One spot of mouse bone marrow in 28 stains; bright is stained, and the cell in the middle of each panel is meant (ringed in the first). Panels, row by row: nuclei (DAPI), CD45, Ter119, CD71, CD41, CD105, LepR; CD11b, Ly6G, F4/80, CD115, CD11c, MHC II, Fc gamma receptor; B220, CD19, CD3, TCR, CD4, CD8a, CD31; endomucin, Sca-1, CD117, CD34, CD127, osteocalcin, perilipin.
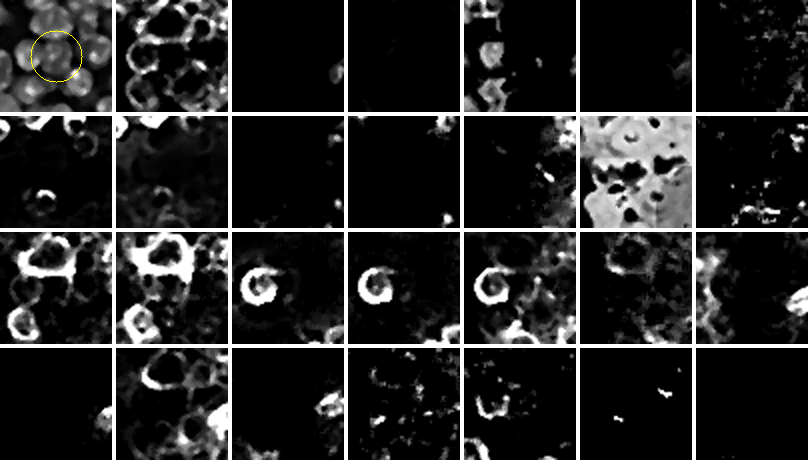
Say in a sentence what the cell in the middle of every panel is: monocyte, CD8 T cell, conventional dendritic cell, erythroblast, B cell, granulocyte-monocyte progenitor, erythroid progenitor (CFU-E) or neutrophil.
This is a B cell.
